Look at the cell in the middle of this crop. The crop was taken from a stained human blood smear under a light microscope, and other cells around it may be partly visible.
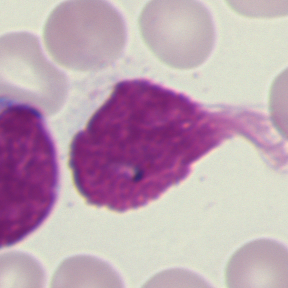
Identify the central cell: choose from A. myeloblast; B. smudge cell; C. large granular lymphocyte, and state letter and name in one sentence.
The central cell is a smudge cell, which makes option B the right answer.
